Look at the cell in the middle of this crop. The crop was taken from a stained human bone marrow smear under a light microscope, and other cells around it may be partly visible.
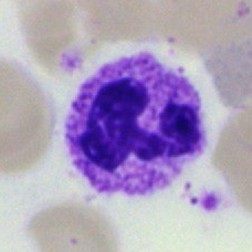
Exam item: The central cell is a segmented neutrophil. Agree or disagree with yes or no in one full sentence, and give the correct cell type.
Yes, a segmented neutrophil is present in the middle of the crop.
